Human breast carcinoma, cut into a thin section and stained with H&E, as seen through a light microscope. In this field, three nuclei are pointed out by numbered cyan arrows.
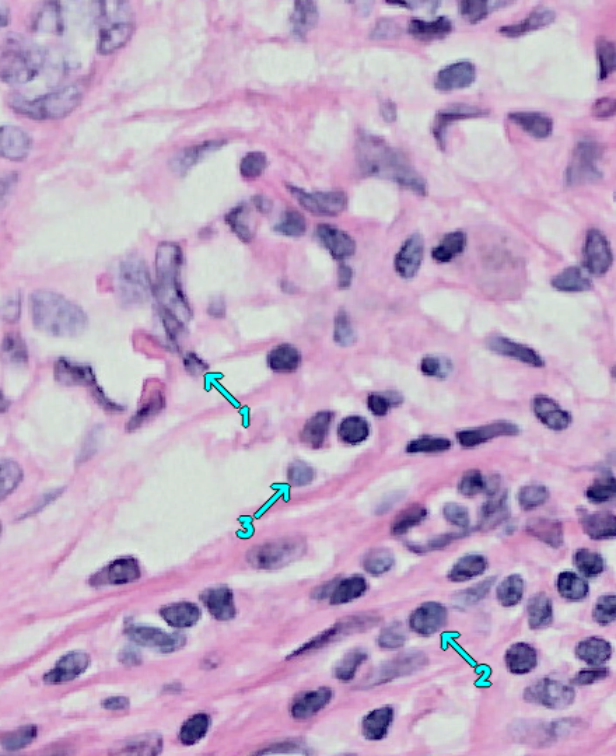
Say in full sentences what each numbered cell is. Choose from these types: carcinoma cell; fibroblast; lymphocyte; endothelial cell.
Cell 1 is an endothelial cell. Cells 2 and 3 are lymphocytes.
